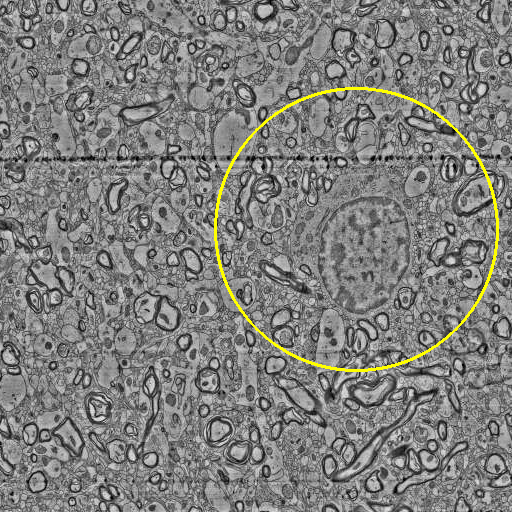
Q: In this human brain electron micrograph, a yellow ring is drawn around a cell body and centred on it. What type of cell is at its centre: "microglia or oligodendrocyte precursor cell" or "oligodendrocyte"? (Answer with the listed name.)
oligodendrocyte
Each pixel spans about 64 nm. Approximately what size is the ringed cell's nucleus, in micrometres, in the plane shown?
Approximately 8 by 6 micrometers in this plane.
